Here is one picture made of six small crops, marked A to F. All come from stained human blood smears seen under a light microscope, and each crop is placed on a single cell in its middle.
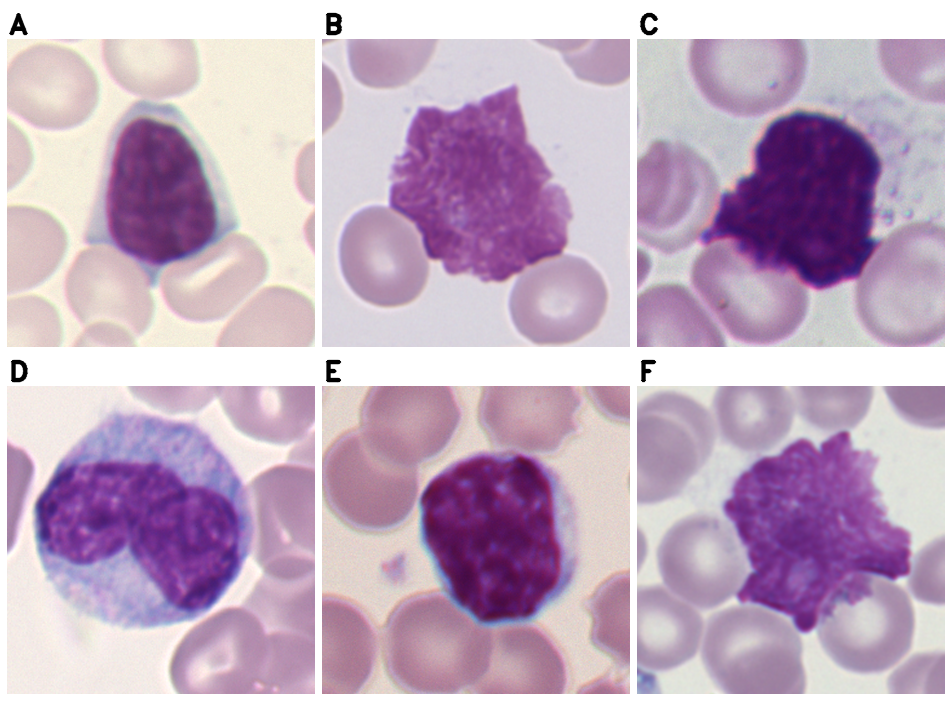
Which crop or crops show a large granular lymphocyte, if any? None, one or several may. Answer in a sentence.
Not one crop among those given holds a large granular lymphocyte.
